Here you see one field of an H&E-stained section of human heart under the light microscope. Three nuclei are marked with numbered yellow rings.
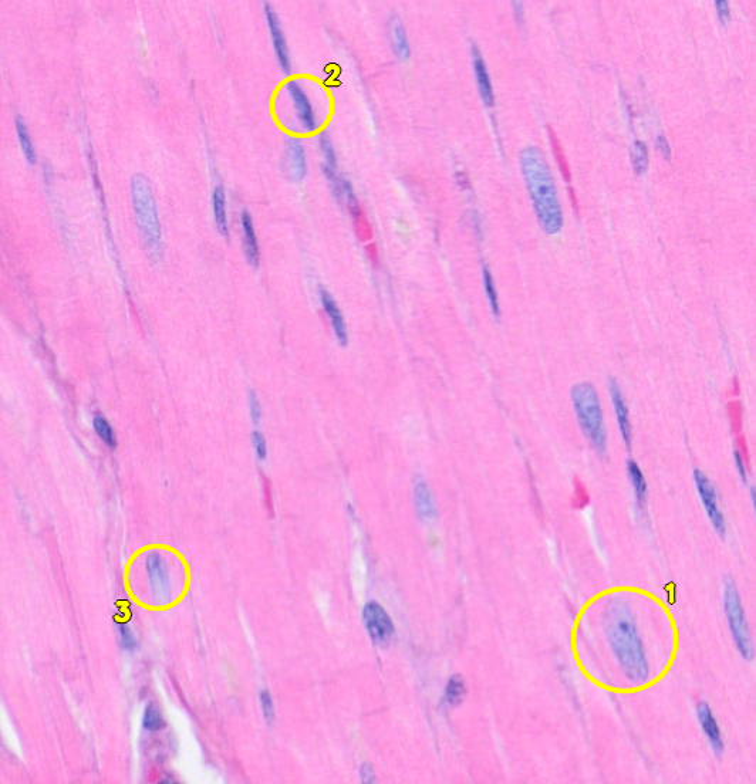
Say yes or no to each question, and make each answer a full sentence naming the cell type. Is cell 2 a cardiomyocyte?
No, cell 2 is not to be taken for a cardiomyocyte; it is a fibroblast.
